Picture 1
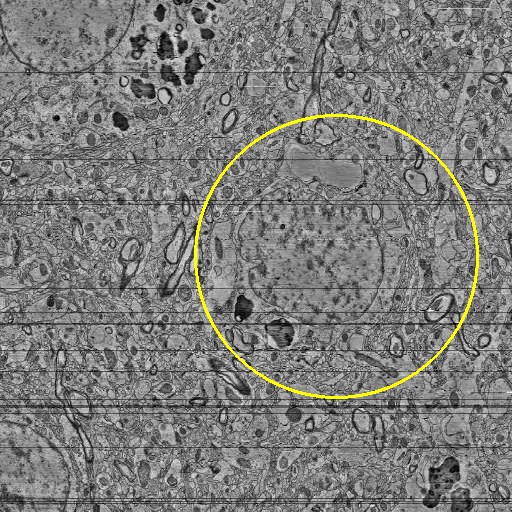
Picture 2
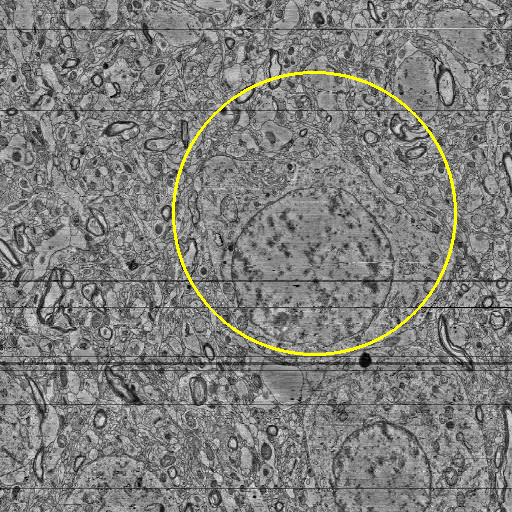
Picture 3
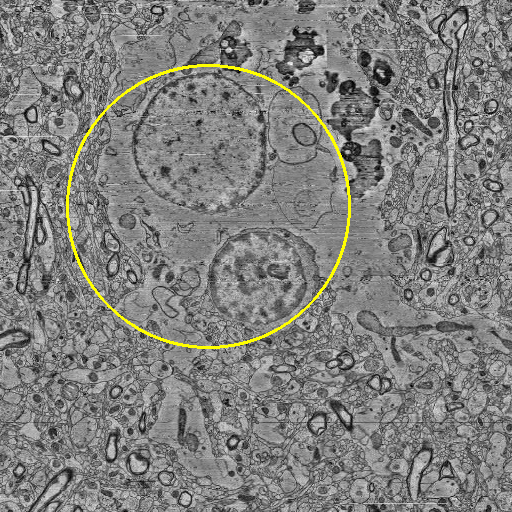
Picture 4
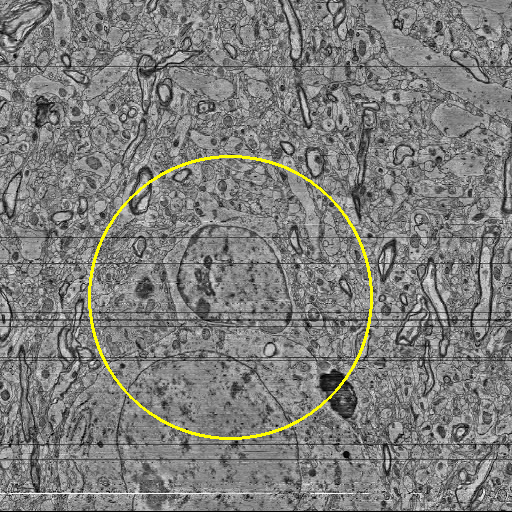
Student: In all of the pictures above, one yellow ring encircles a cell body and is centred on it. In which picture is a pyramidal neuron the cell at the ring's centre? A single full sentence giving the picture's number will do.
Picture number 2 has the wanted cell right at the centre of its ring.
